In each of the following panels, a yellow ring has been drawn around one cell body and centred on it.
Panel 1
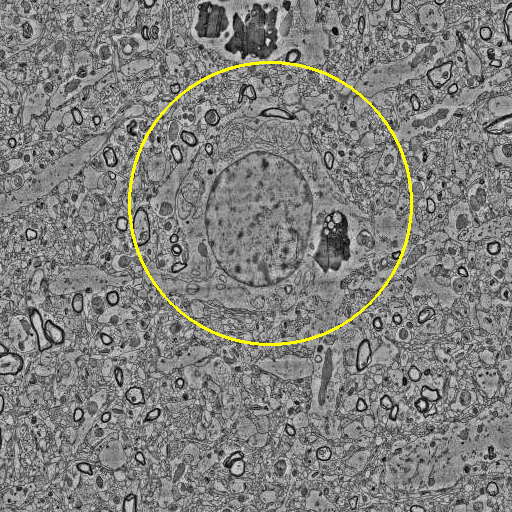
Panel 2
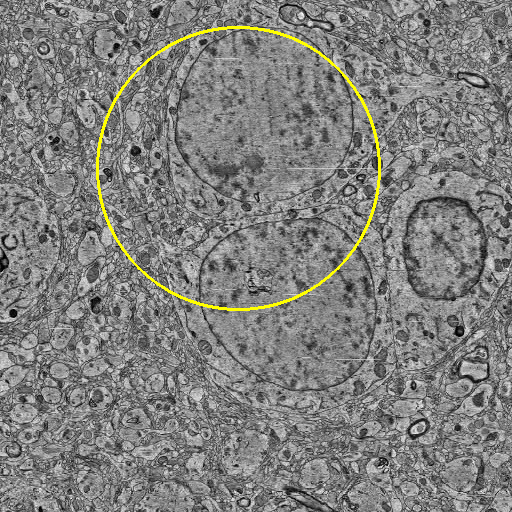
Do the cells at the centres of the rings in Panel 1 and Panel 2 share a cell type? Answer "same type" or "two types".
two types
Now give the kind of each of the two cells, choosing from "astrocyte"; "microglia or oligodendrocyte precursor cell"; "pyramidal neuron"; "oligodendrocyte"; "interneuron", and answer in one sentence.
The cell in the first picture is an astrocyte, and the cell in the second is a pyramidal neuron.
